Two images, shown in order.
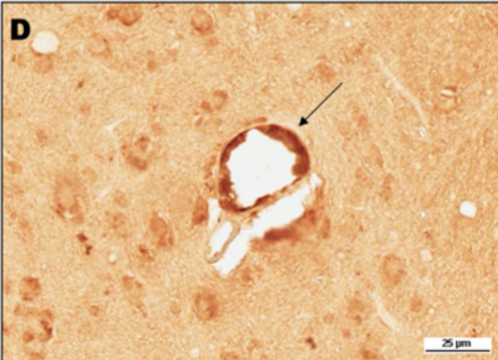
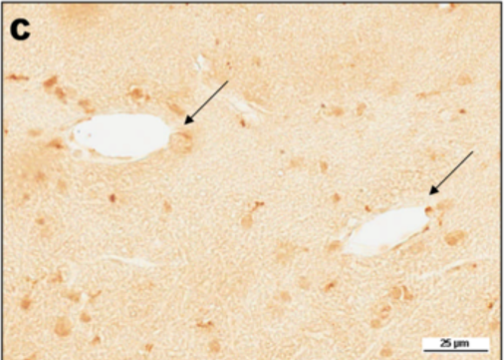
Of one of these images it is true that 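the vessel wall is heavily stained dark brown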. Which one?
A: the first image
